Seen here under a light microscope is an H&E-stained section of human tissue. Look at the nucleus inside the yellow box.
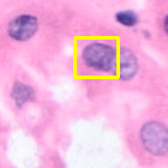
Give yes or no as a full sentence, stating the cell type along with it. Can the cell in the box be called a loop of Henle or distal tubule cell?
No, the cell in the box is a proximal tubule cell; calling it a loop of Henle or distal tubule cell would be wrong.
